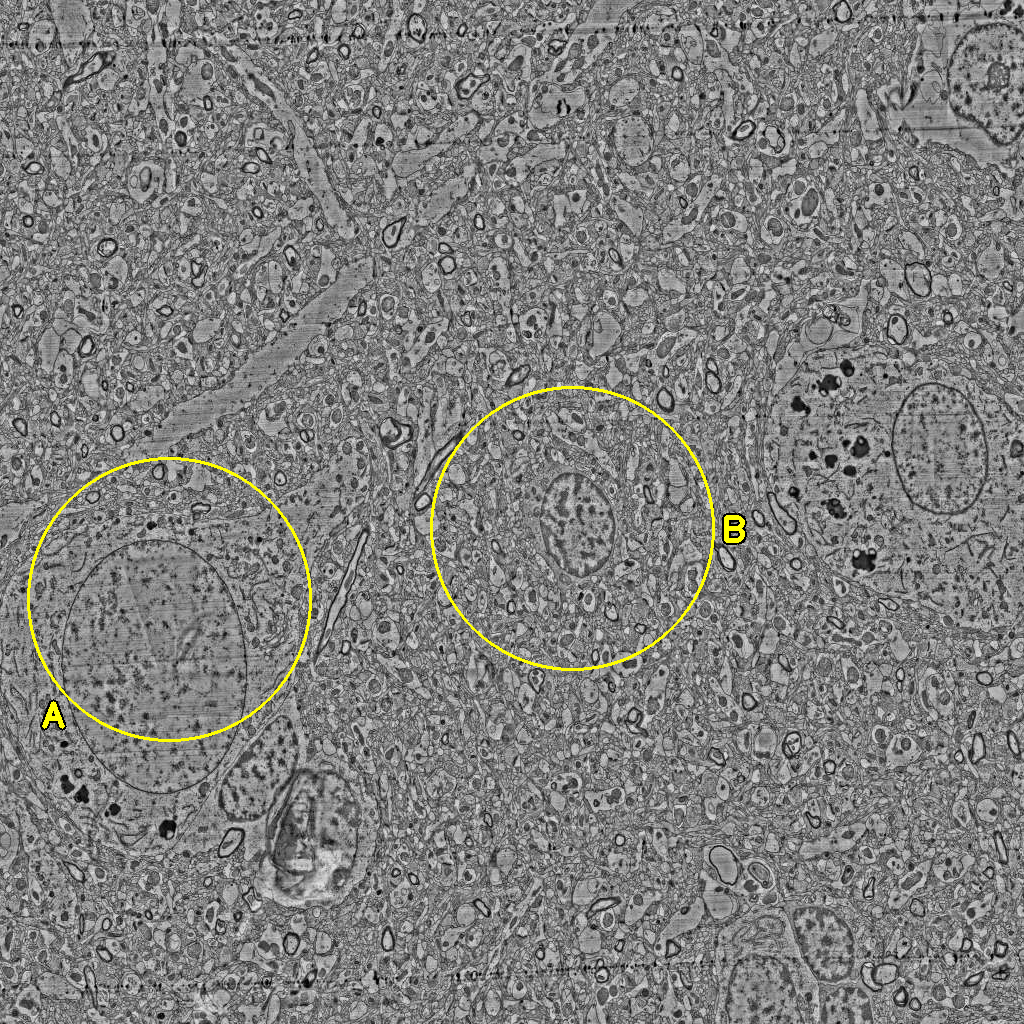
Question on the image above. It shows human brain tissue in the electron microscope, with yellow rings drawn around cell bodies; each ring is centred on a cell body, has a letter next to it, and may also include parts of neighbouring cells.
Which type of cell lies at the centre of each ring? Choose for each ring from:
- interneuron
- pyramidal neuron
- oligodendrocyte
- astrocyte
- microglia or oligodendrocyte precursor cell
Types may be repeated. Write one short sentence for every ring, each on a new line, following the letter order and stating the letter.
Ring A has been drawn around a pyramidal neuron.
Ring B has been drawn around an oligodendrocyte.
